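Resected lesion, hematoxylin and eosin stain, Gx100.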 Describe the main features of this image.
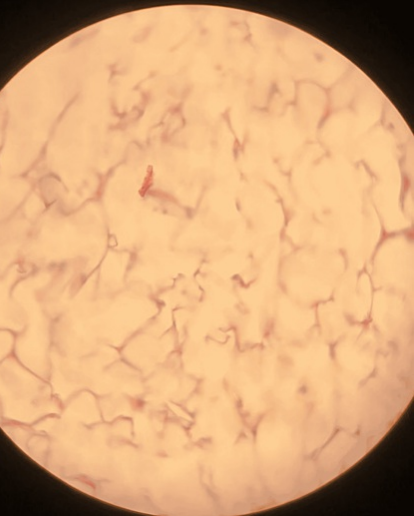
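Sheet of mature adipocytes. The cells are large, polygonal to rounded and optically empty, so the cytoplasm appears as a single clear space. The cells are closely packed, vary only moderately in size and show no obvious crowding of dark nuclei. There is little intervening stroma, with only a few thin strands. A small dark-red fleck near the centre may be a capillary fragment or debris.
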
